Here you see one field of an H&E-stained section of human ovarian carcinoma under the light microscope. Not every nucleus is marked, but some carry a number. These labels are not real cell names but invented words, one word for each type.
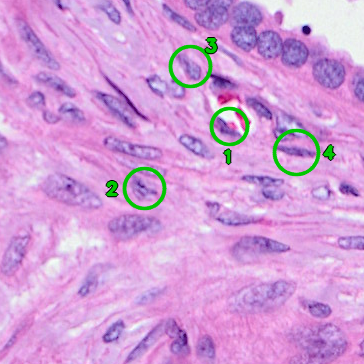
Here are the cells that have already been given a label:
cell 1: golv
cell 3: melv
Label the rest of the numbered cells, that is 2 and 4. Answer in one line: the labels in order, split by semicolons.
melv; melv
